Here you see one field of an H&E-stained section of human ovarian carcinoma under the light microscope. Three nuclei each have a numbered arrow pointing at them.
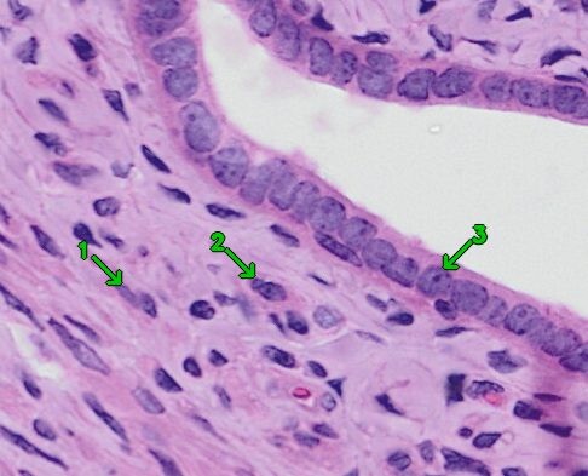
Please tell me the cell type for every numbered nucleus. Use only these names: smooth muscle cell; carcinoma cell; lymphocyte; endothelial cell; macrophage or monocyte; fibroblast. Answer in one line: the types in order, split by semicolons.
smooth muscle cell; endothelial cell; carcinoma cell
